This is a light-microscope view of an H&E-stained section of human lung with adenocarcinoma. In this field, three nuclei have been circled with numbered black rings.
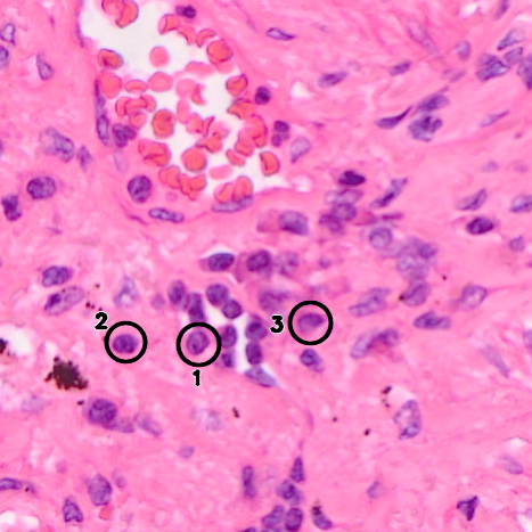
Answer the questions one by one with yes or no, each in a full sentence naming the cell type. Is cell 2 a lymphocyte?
Yes, cell number 2 is classified as a lymphocyte.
